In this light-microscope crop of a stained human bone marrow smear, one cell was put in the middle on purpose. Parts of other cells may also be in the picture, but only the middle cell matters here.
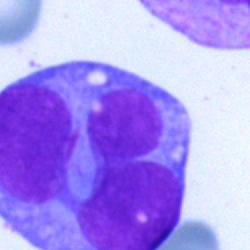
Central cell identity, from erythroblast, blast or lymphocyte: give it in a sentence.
By classification, the middle cell of this crop is a blast.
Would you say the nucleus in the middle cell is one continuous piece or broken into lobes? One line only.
Two or more lobes make up the nucleus of this cell.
